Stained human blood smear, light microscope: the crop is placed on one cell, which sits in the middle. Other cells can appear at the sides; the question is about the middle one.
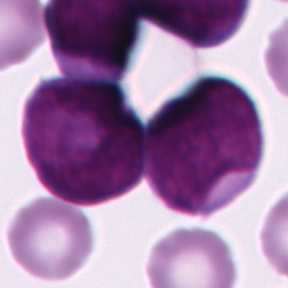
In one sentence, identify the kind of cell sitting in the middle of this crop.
Regarding the central cell, it is a myeloblast.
